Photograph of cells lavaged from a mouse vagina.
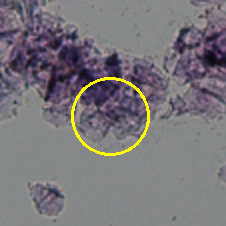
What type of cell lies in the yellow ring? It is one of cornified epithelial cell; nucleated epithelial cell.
The ringed cell is a cornified epithelial cell.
